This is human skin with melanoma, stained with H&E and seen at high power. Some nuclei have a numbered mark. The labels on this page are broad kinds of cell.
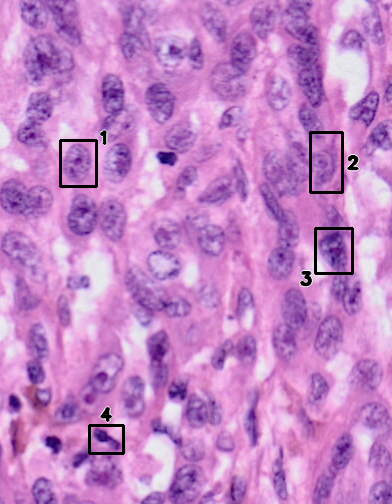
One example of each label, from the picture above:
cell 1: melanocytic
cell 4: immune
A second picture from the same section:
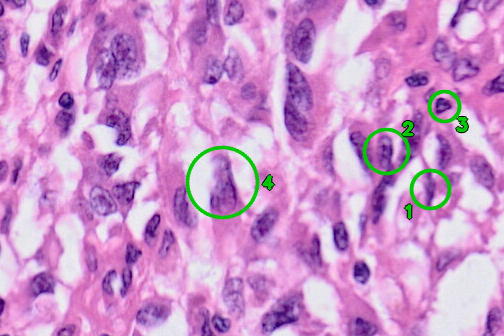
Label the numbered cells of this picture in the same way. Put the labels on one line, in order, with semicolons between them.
melanocytic; melanocytic; immune; melanocytic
